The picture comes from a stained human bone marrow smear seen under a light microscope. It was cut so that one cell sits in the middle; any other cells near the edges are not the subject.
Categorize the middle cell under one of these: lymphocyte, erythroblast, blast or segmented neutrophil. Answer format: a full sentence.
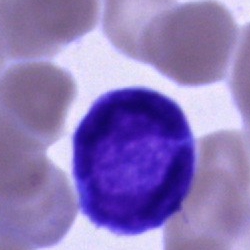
In short, the cell at the center is a blast.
